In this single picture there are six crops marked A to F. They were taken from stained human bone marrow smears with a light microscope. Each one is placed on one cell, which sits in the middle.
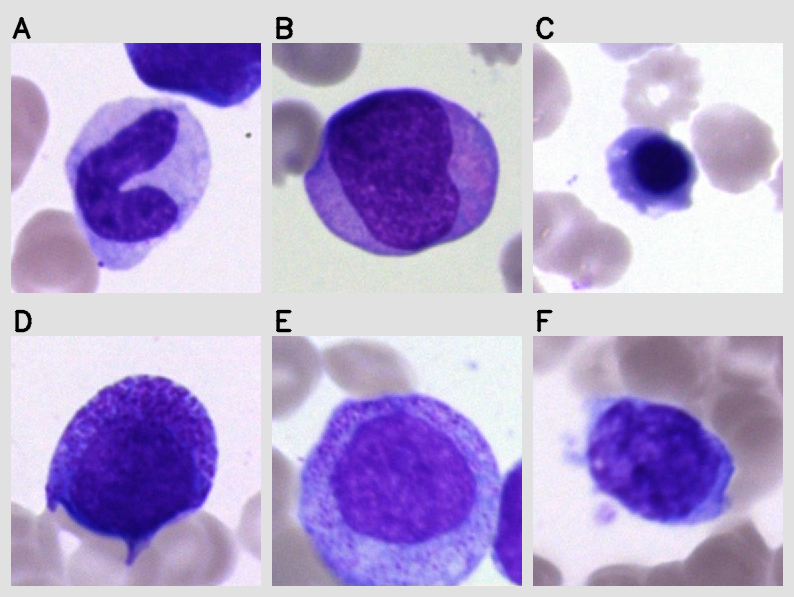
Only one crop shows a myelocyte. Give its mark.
E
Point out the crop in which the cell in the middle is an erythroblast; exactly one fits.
C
